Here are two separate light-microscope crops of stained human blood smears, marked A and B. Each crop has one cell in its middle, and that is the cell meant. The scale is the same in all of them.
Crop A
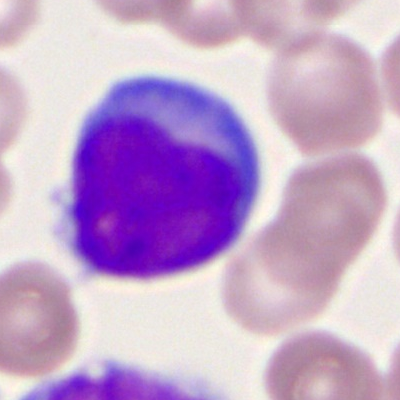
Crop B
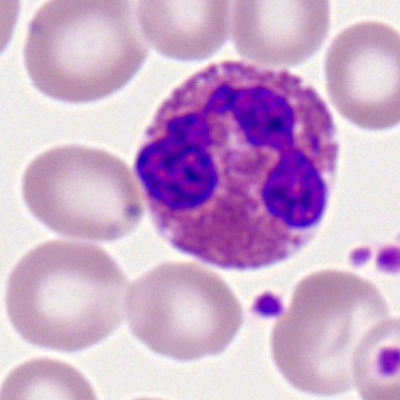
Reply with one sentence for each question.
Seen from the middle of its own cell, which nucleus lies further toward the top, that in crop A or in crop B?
In crop B the nucleus is shifted more toward the top.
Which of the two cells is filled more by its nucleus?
Of the two, the nucleus in crop A makes up the greater part of its cell.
